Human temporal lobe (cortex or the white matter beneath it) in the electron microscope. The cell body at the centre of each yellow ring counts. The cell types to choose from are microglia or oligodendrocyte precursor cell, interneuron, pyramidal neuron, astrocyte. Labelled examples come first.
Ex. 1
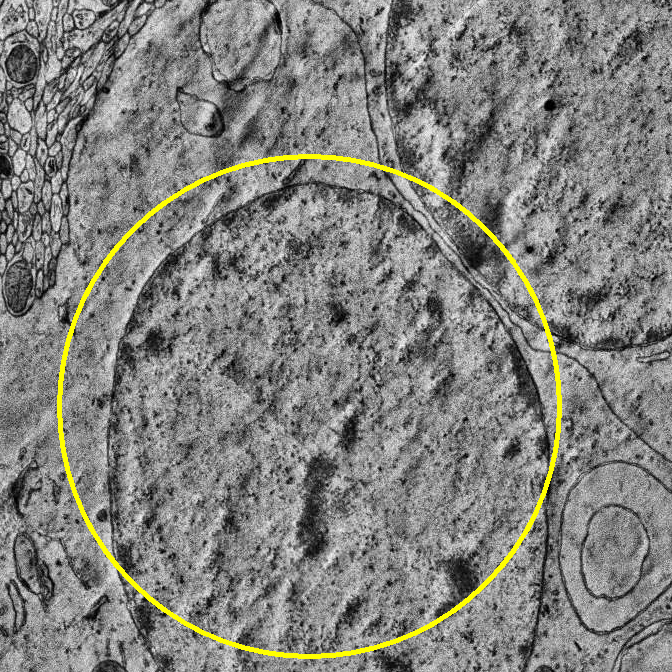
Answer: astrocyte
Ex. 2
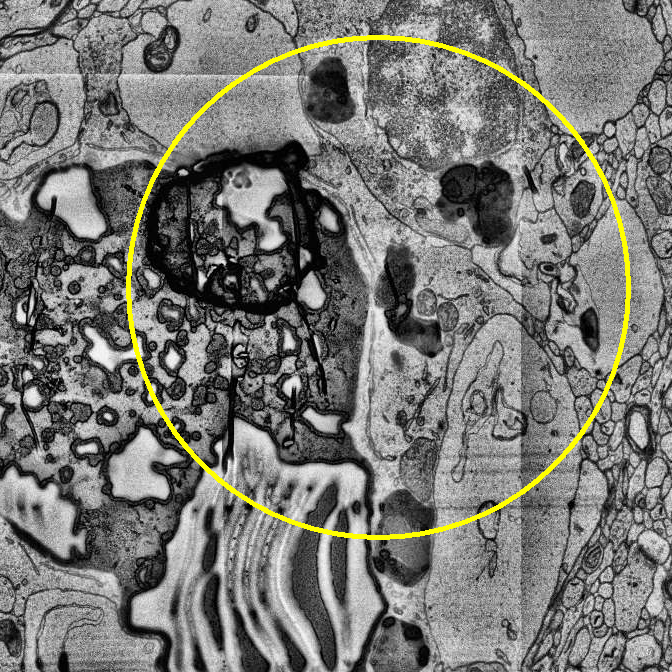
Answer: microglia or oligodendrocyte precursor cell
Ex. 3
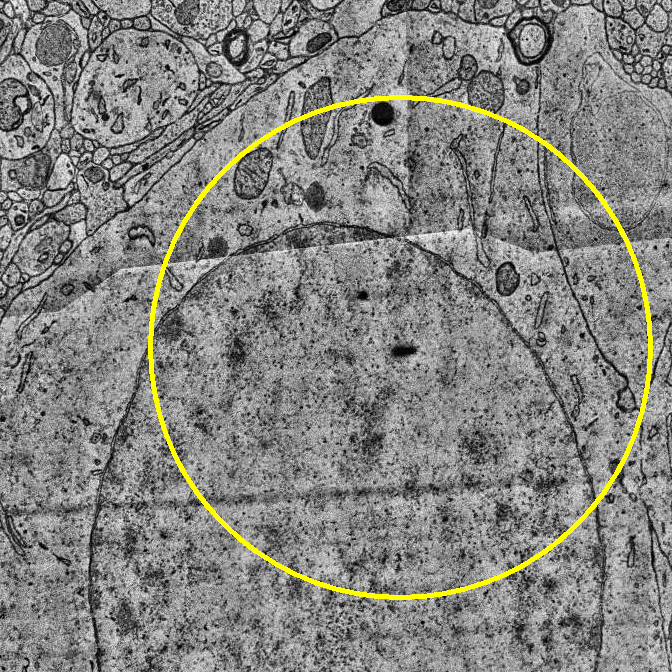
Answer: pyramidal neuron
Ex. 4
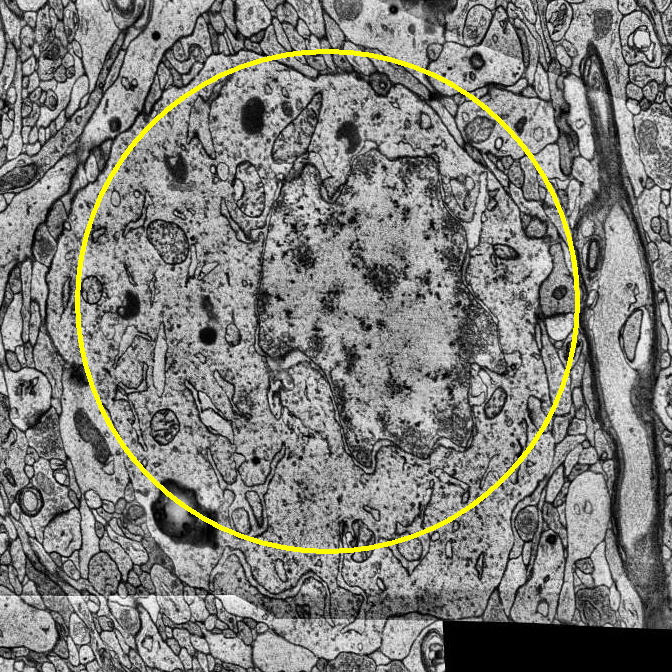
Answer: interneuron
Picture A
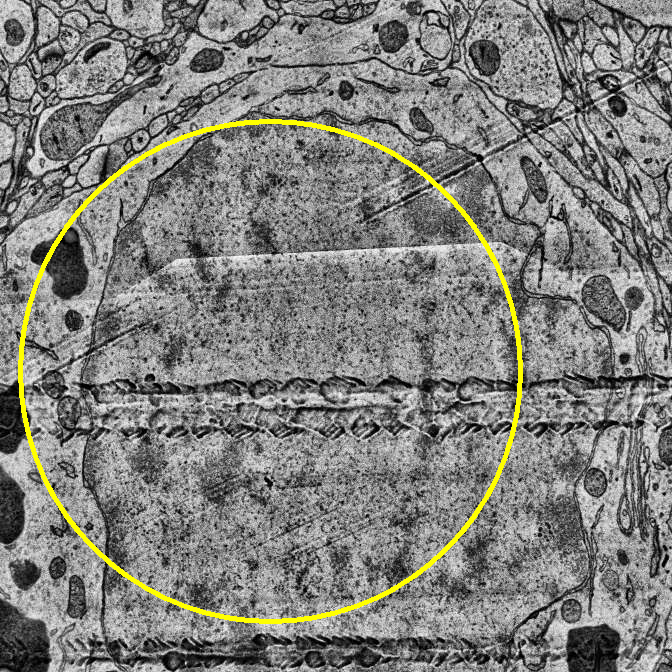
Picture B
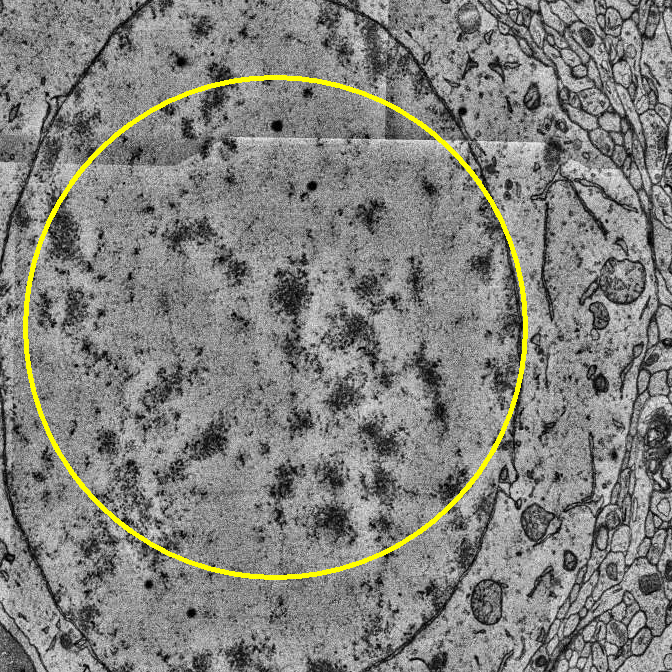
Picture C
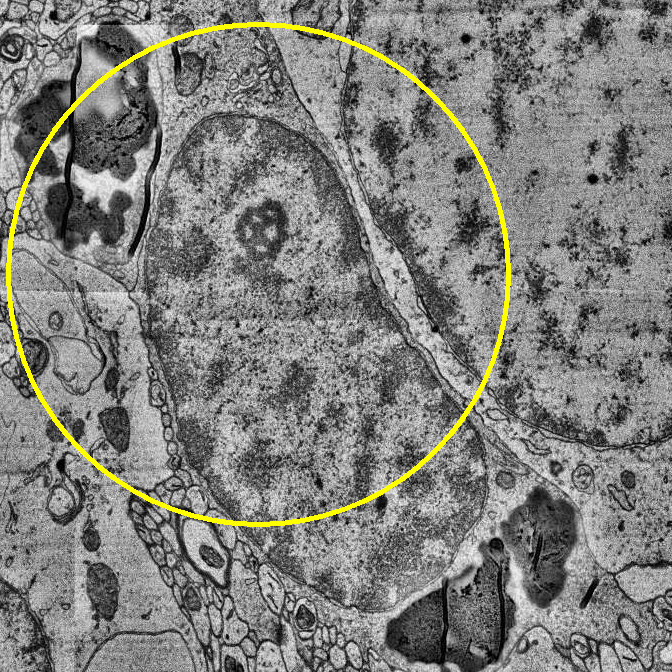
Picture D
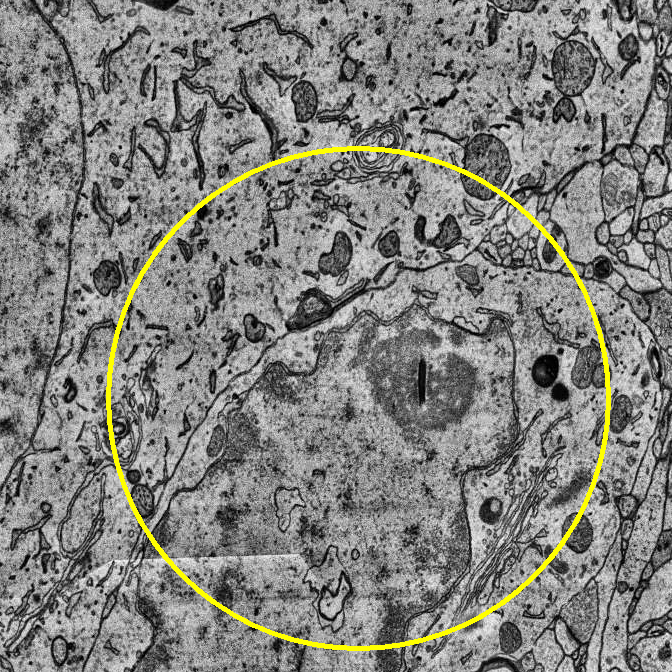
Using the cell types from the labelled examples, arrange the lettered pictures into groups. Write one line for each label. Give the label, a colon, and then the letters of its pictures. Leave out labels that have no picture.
microglia or oligodendrocyte precursor cell: C
interneuron: A, D
pyramidal neuron: B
